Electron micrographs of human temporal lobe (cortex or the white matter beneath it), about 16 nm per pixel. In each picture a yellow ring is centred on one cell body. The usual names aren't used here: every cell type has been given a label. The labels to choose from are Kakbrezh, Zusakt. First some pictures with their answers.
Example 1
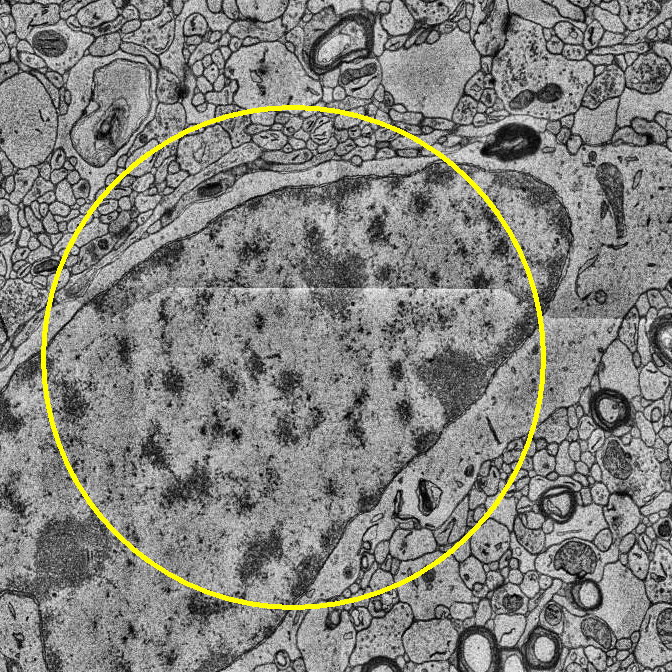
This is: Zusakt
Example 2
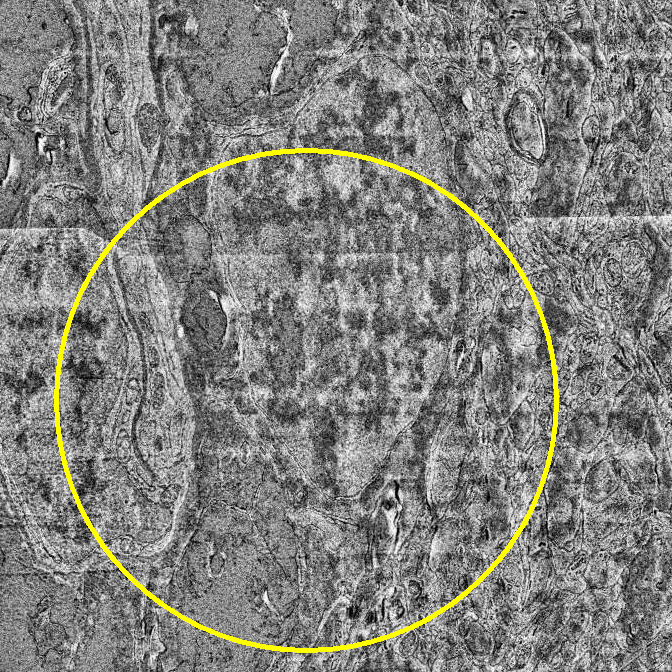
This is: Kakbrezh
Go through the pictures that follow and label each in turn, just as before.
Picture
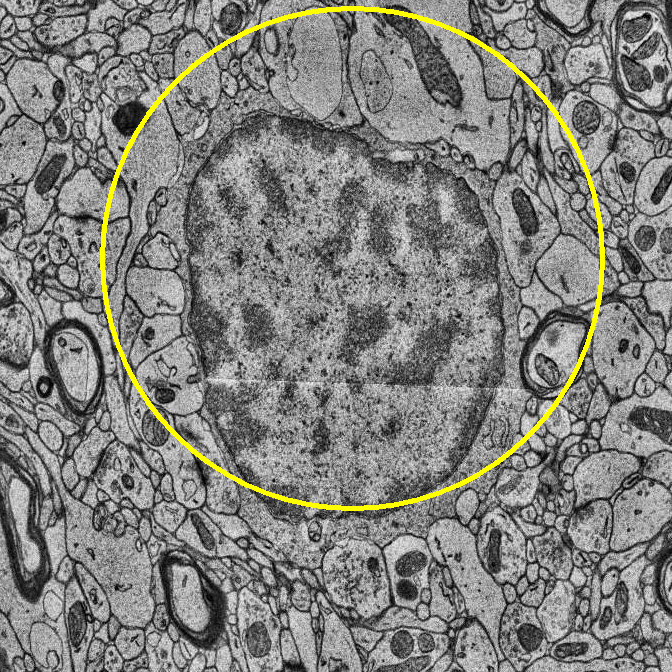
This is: Kakbrezh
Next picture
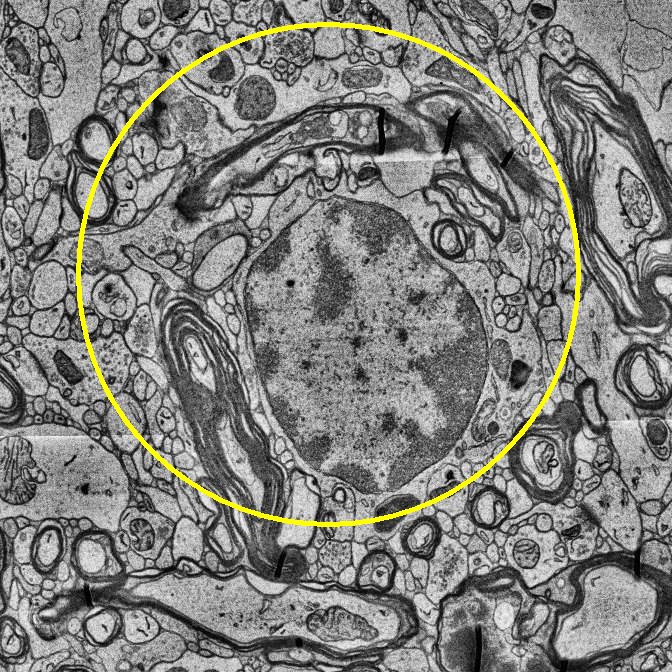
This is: Zusakt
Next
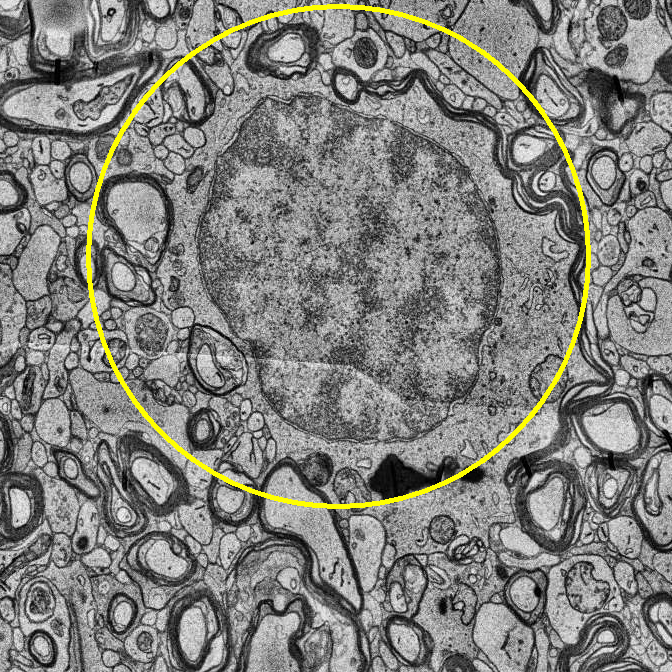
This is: Kakbrezh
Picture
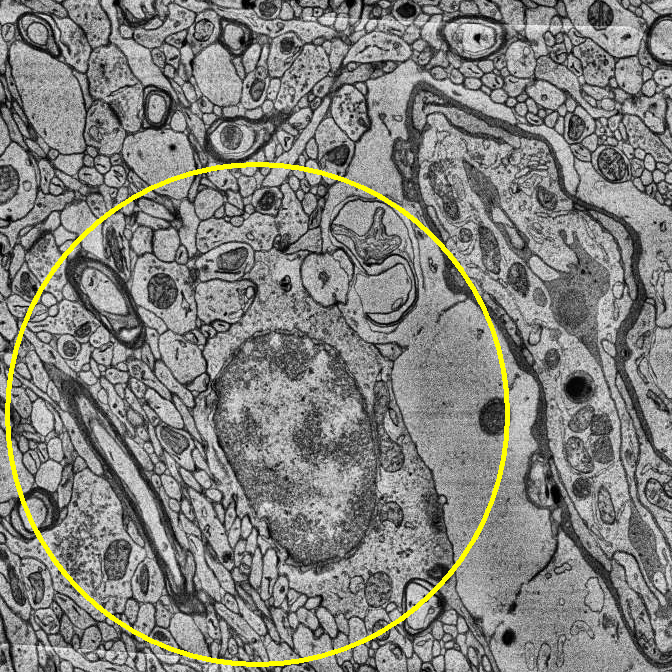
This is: Kakbrezh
